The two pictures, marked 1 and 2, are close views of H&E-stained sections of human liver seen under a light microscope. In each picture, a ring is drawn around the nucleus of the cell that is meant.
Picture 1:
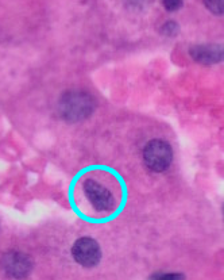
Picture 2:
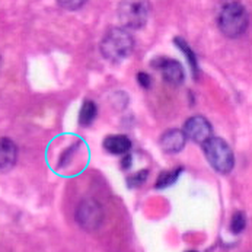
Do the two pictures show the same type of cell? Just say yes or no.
yes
